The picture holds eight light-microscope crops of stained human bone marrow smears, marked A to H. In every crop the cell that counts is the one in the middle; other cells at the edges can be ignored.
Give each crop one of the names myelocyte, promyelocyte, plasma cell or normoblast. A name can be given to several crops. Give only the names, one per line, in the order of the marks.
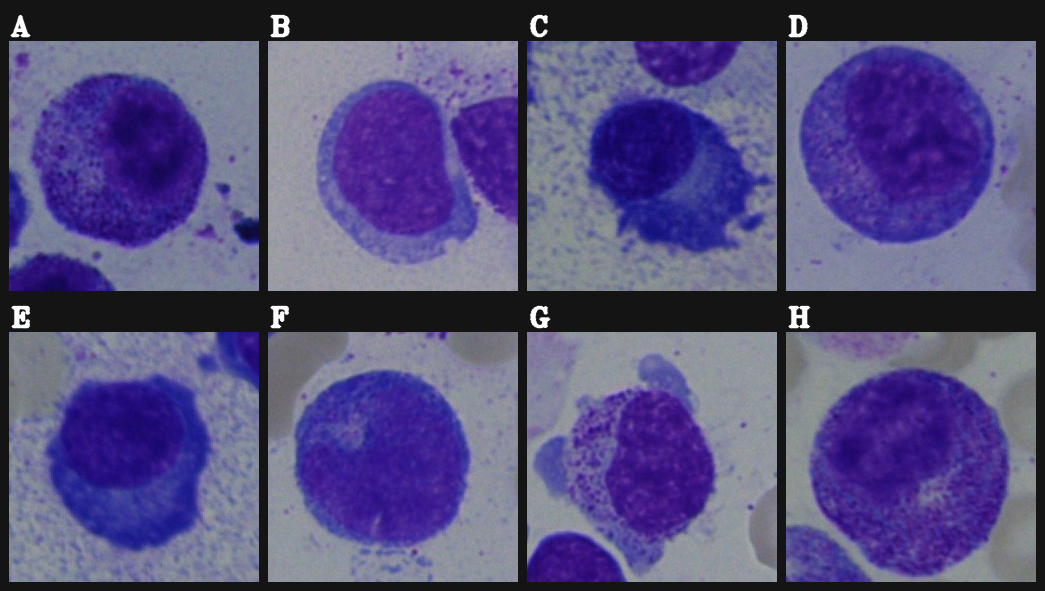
promyelocyte
promyelocyte
plasma cell
promyelocyte
plasma cell
promyelocyte
myelocyte
promyelocyte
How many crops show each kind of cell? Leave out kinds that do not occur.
promyelocyte: 5
plasma cell: 2
myelocyte: 1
